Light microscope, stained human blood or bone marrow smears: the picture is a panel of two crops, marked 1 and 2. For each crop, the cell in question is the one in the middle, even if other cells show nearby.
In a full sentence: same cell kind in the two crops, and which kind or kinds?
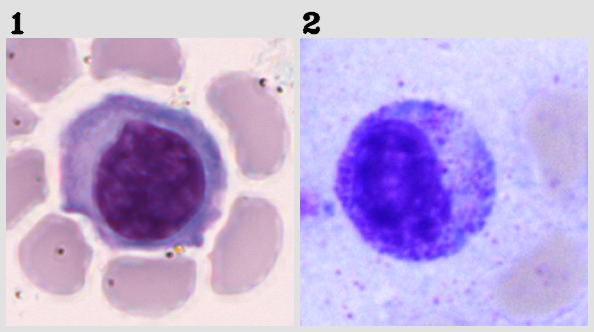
No, crop 1 captures a plasma cell, and crop 2 captures a myelocyte.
